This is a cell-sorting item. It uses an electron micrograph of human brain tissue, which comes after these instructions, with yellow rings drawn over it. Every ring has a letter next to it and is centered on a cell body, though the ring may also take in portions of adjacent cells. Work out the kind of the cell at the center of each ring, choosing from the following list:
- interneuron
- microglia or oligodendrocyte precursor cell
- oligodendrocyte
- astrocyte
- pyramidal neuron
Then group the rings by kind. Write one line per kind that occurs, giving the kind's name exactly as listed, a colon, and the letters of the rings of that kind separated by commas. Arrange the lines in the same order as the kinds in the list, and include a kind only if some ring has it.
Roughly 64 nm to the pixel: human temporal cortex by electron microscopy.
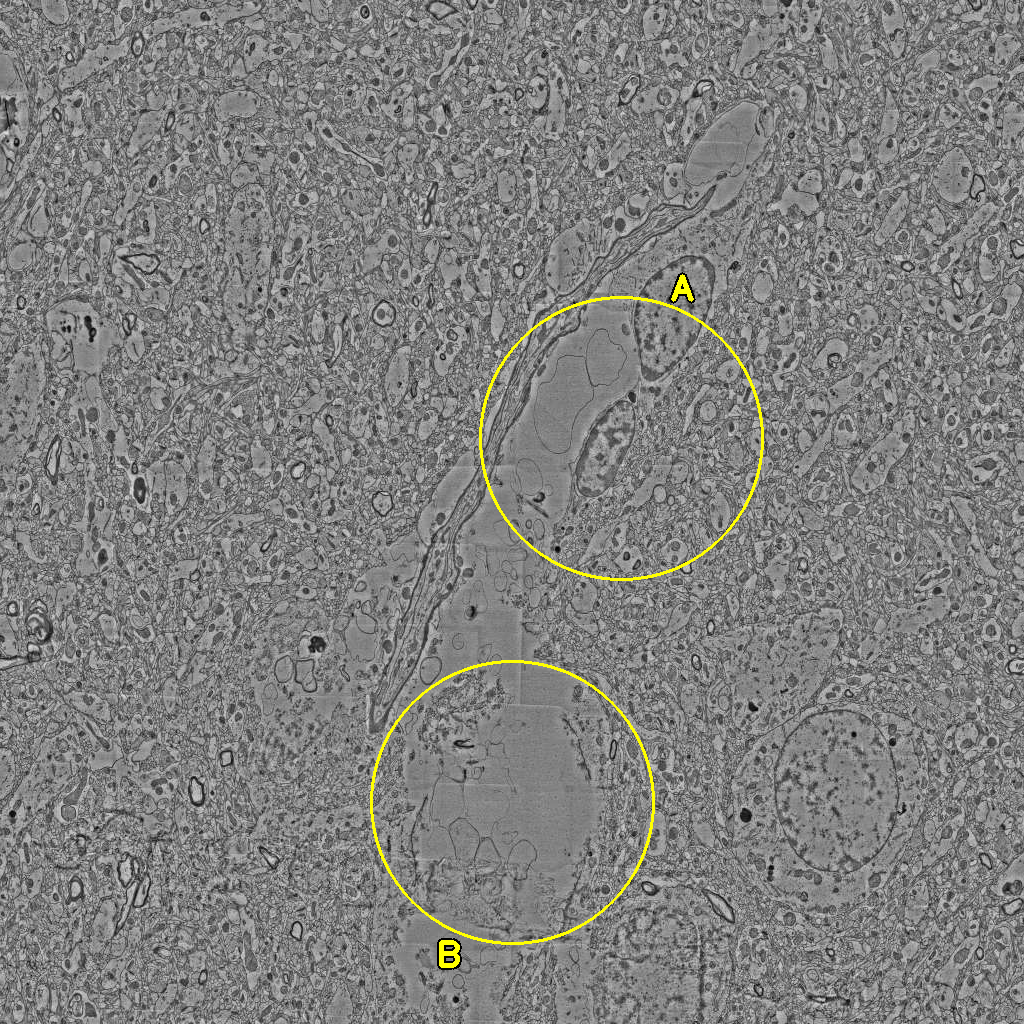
microglia or oligodendrocyte precursor cell: A
pyramidal neuron: B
